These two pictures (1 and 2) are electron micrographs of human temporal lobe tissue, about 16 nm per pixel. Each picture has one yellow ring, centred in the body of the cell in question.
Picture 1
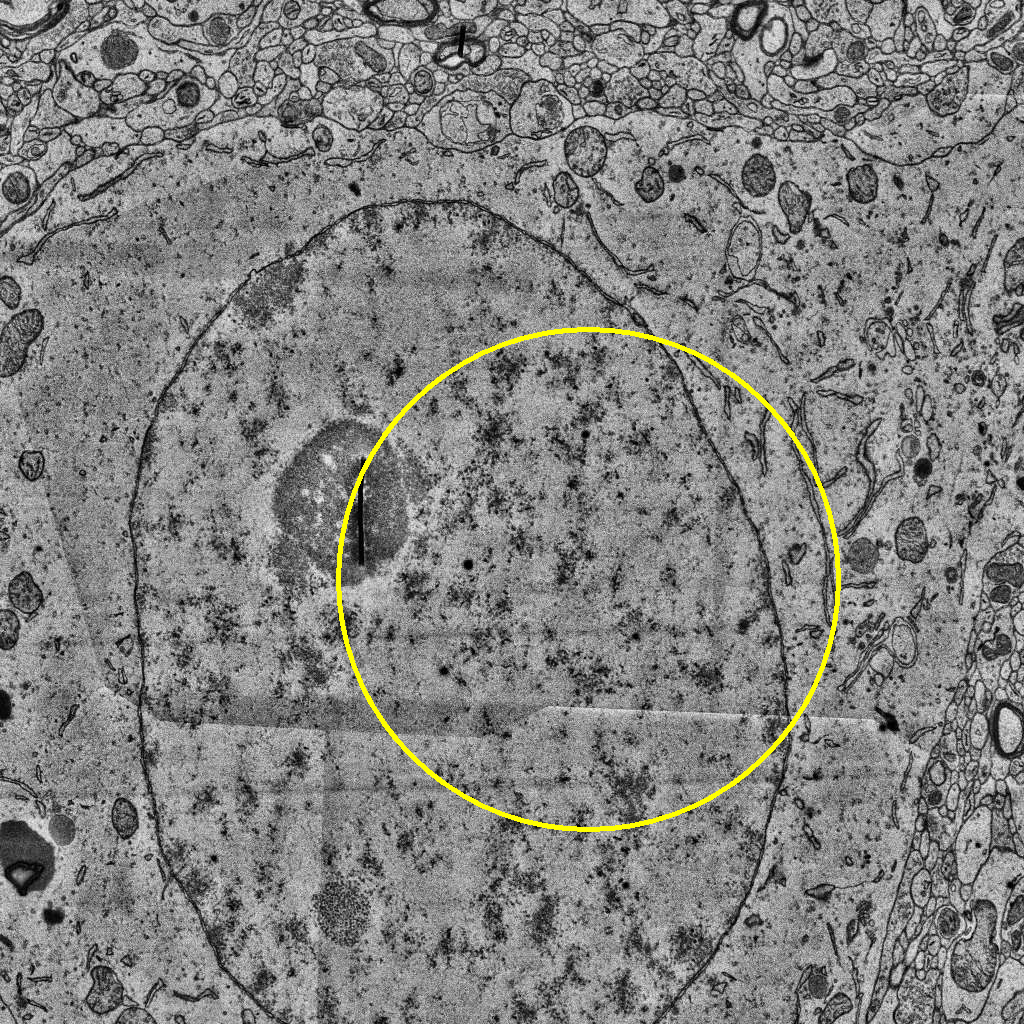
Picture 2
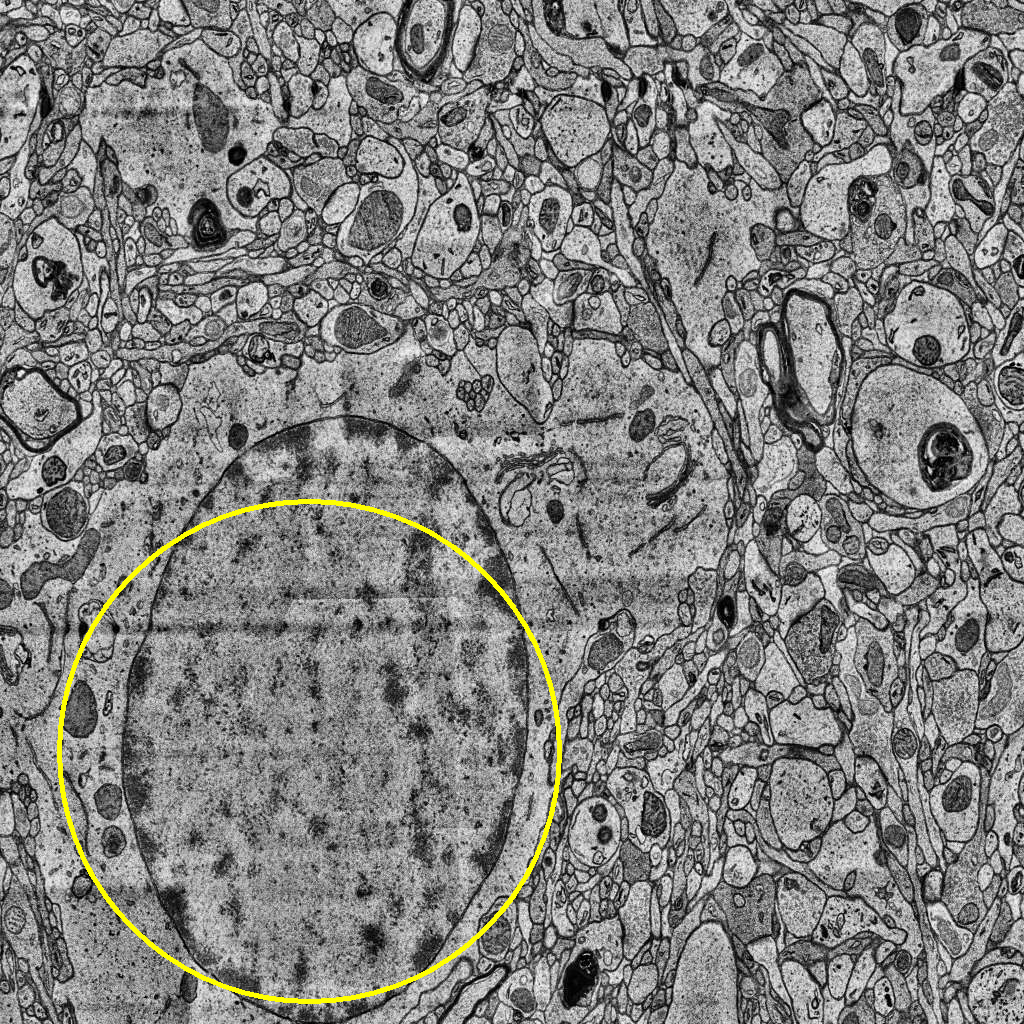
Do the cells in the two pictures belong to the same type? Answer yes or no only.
no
